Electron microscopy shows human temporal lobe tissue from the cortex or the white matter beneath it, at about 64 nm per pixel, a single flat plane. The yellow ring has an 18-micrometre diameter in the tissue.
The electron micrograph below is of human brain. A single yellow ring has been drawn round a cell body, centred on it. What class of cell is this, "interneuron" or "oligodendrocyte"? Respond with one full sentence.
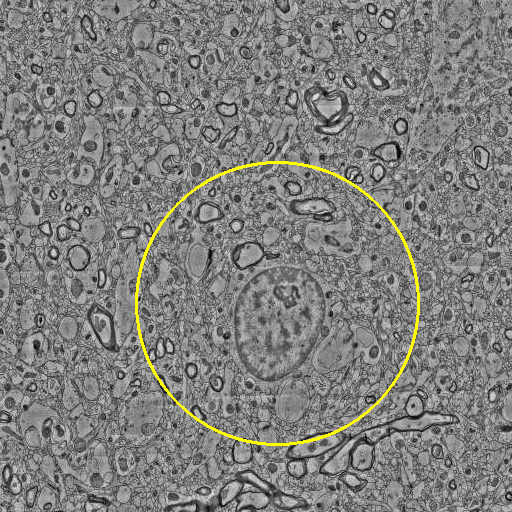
In the micrograph, the cell centred inside the yellow ring is an oligodendrocyte.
